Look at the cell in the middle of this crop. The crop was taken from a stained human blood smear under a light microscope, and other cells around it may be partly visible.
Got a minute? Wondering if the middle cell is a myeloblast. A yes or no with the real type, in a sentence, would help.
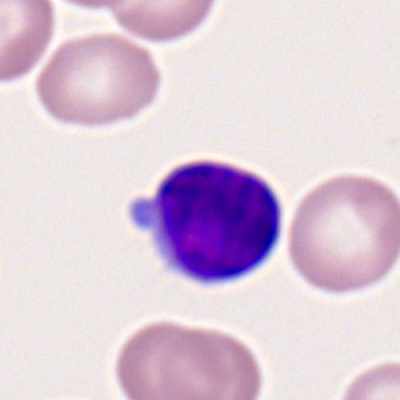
No, the cell at the centre is categorised not as a myeloblast but as a lymphocyte.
